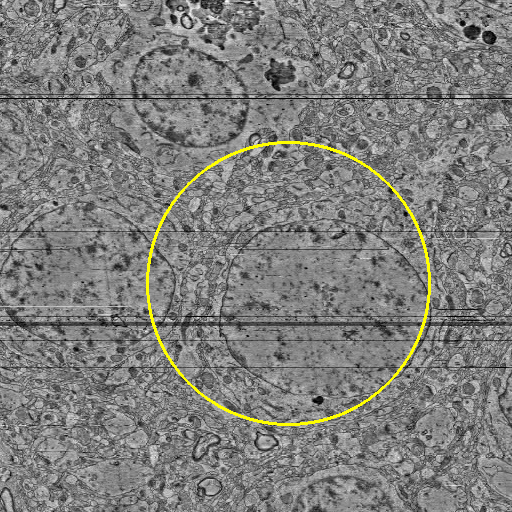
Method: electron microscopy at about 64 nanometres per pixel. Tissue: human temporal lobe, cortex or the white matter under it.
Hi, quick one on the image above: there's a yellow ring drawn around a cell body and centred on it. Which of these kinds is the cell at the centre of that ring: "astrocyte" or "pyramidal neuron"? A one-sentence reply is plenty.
The cell at the centre of the ring is a pyramidal neuron.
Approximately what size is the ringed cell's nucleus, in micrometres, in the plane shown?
Approximately 13 micrometres across in this plane.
